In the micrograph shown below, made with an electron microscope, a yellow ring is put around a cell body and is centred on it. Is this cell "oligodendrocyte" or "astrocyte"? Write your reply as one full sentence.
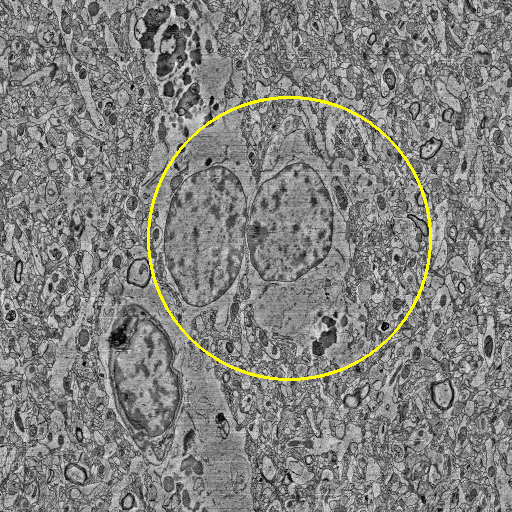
In the micrograph, an astrocyte is the cell at the centre of the yellow ring.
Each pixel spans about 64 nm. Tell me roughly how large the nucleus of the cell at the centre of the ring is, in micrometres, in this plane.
Approximately 8 x 5 micrometres in this plane.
